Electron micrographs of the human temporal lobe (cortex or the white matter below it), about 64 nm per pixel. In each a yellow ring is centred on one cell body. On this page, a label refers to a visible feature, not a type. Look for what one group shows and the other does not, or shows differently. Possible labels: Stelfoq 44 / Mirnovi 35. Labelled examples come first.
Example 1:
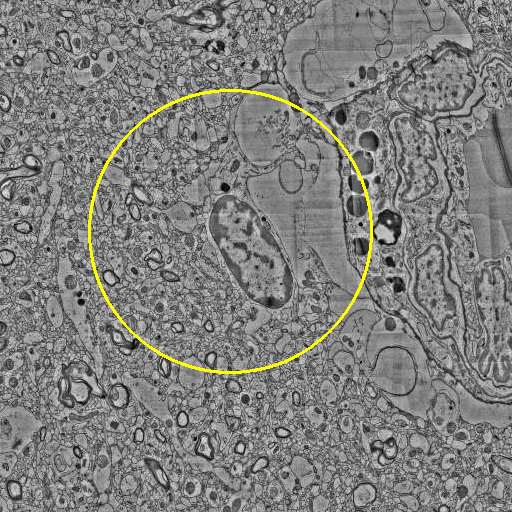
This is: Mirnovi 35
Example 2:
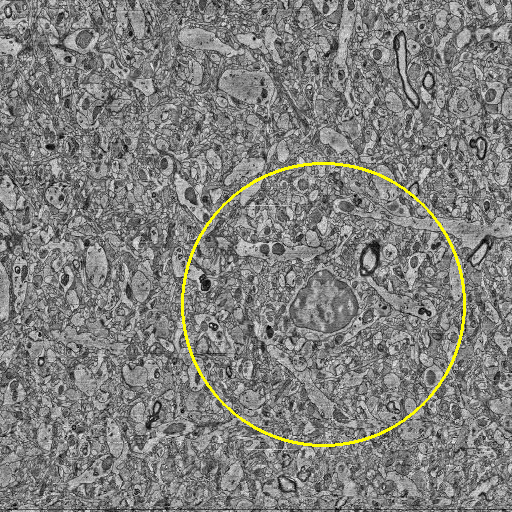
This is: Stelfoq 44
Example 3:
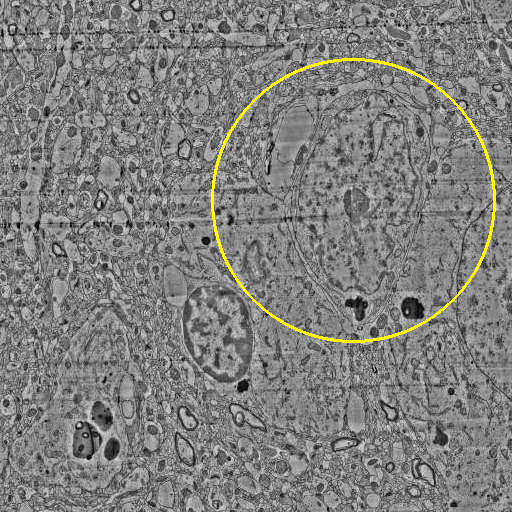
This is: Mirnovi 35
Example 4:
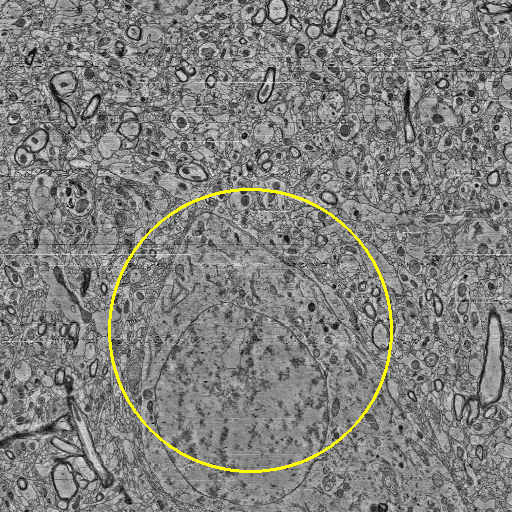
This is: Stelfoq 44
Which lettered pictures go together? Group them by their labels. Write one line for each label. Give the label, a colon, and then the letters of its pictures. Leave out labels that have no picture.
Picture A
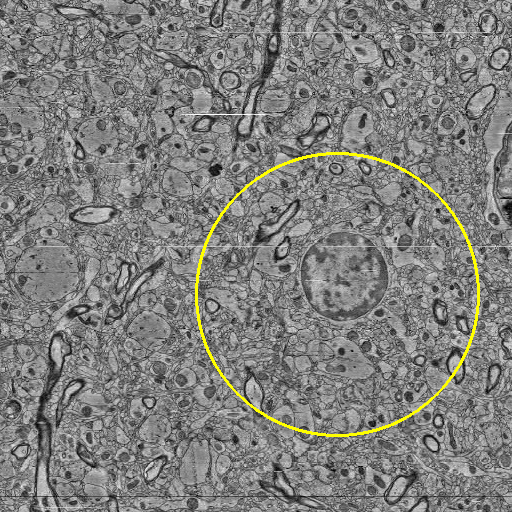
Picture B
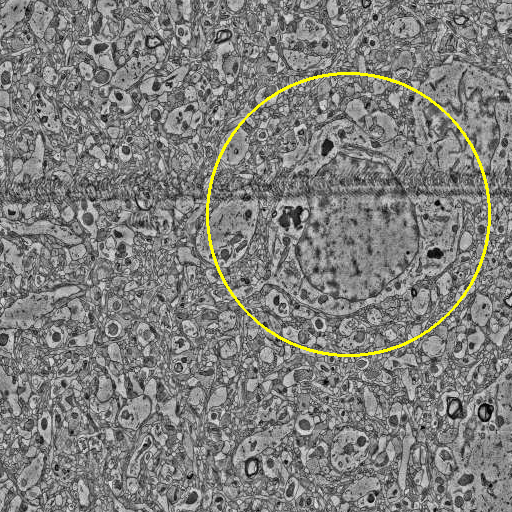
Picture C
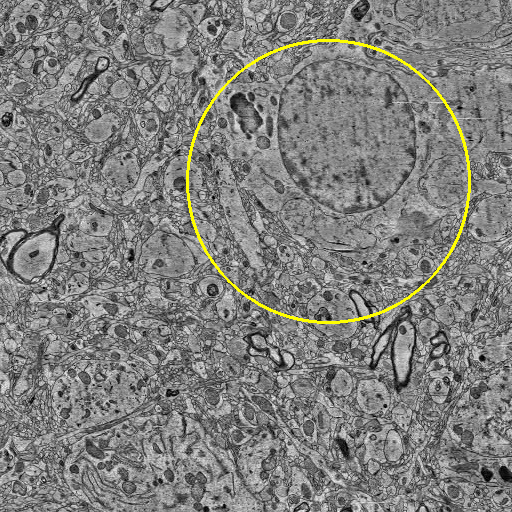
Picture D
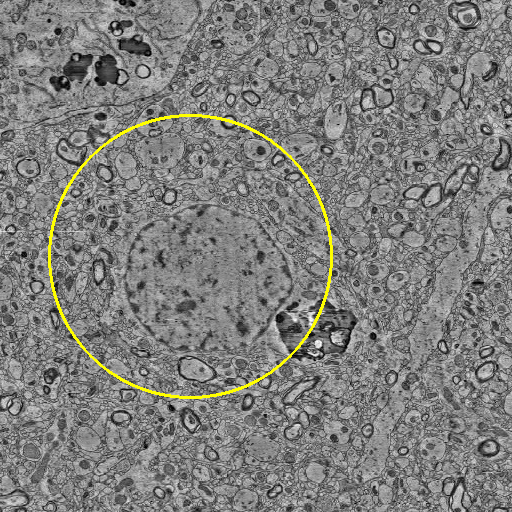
Stelfoq 44: A, B, C, D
